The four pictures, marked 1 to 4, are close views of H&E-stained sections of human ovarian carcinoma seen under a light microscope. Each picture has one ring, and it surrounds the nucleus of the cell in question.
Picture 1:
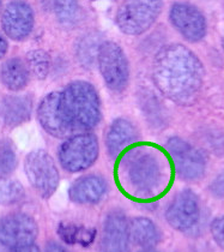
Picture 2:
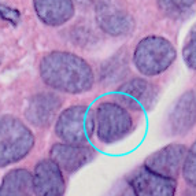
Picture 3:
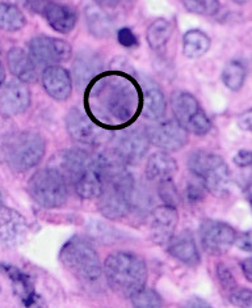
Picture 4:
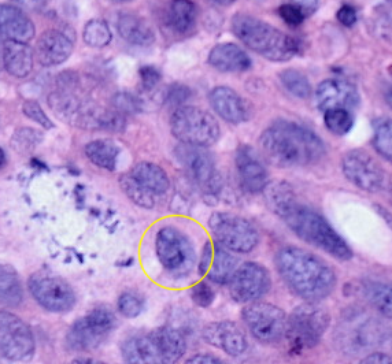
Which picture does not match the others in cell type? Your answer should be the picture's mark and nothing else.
4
